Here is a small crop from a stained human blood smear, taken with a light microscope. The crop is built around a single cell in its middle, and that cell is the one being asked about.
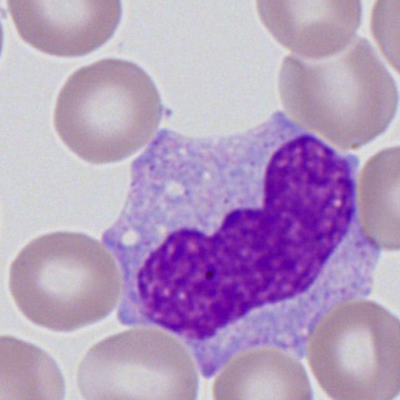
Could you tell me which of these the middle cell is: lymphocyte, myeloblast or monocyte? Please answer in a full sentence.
The centrally positioned cell in the crop represents a monocyte.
